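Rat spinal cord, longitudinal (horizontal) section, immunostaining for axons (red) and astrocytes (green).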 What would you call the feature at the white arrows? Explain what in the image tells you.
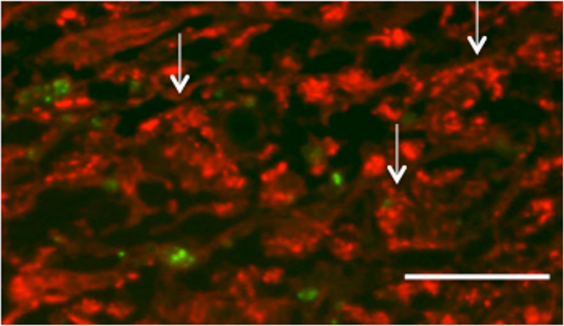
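The arrows point at clusters of red fibres lying close together. Dark spaces separate these red clusters from one another.
Conclusion: small fascicles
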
